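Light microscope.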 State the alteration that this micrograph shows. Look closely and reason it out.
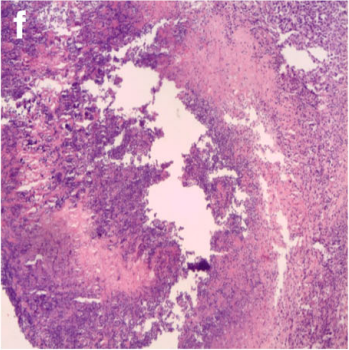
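Wide pale pink zones with few nuclei. Irregular clefts and spaces in the tissue. The answer: large necrosis area.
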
